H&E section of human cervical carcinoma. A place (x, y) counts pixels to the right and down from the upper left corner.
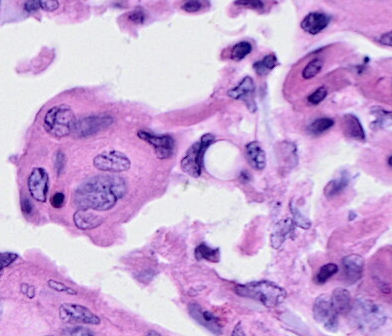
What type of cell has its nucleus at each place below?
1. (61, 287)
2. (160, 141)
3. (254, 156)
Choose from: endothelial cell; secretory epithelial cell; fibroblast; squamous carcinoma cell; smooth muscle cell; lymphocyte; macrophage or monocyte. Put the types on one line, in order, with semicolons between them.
squamous carcinoma cell; squamous carcinoma cell; macrophage or monocyte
